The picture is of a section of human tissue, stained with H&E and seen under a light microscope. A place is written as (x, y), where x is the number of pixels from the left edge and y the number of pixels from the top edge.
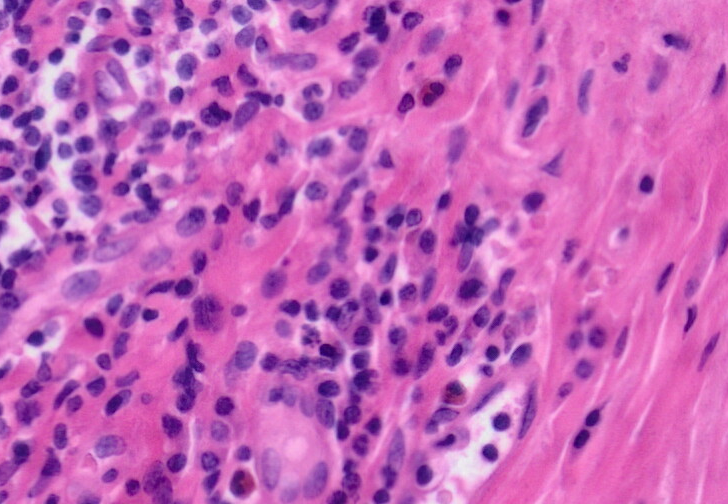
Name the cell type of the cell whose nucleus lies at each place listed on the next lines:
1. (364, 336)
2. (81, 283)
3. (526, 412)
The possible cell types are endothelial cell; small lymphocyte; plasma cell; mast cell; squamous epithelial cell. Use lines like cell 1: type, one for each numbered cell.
cell 1: plasma cell
cell 2: endothelial cell
cell 3: endothelial cell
